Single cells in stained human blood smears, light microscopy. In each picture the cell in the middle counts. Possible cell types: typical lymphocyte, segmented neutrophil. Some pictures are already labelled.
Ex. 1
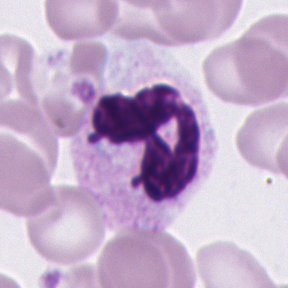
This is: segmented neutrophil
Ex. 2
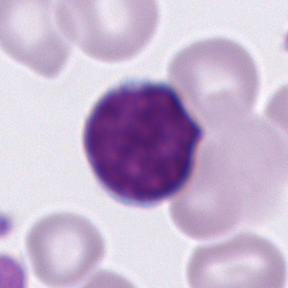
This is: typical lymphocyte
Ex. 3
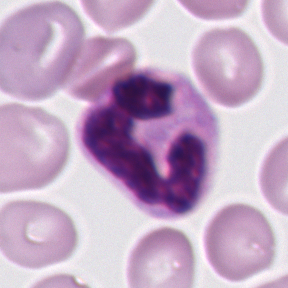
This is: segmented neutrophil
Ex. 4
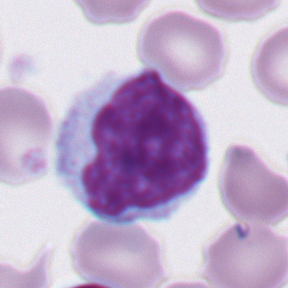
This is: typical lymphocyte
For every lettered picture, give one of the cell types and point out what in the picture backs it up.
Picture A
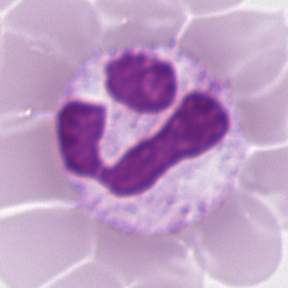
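segmented neutrophil. Reason: The cytoplasm is plentiful and pale pinkish.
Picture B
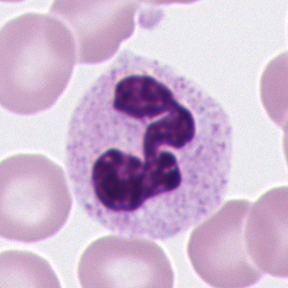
segmented neutrophil. Reason: The cytoplasm is plentiful and pale pinkish-lilac.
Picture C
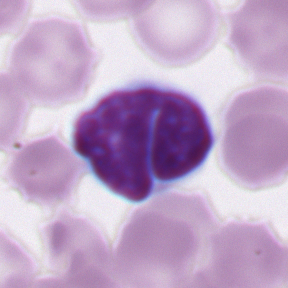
typical lymphocyte. Reason: The cytoplasm is only a very thin pale blue rim, seen best along the lower-left border.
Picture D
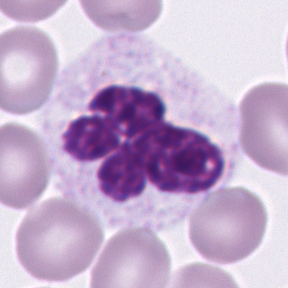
segmented neutrophil. Reason: A wide rim of pale pinkish cytoplasm surrounds the nucleus.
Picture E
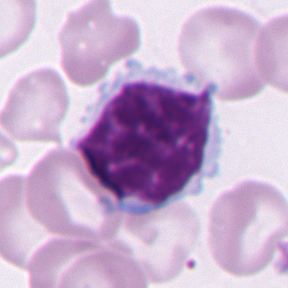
typical lymphocyte. Reason: The cytoplasm forms only a thin rim around the nucleus.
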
